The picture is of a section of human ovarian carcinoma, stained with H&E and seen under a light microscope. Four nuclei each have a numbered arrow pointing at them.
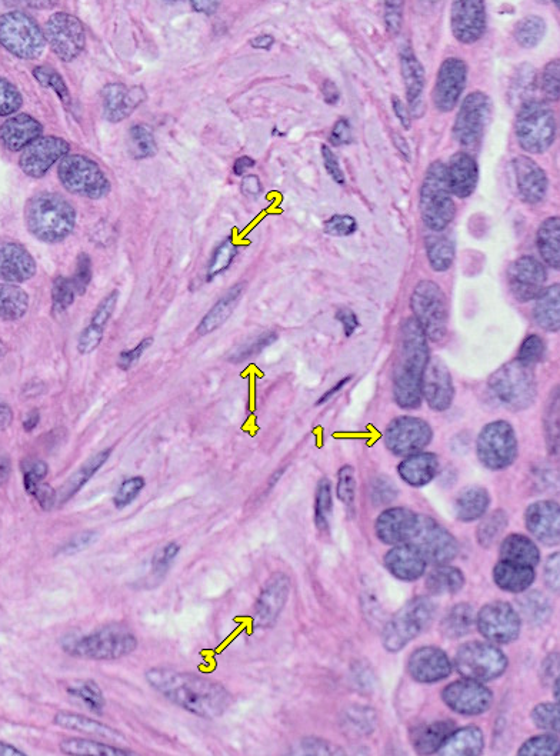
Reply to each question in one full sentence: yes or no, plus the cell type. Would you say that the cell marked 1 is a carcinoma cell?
Yes, the cell that is numbered 1 is a carcinoma cell.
